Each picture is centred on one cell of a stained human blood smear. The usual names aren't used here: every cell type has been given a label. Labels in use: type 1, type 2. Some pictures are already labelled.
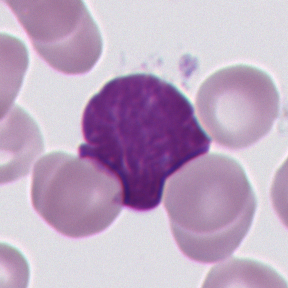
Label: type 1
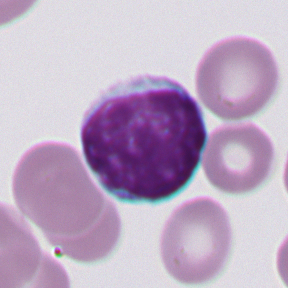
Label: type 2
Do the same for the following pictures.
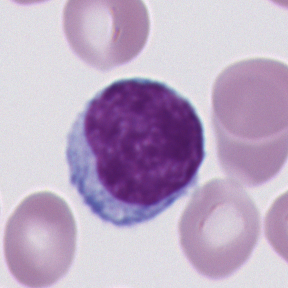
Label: type 2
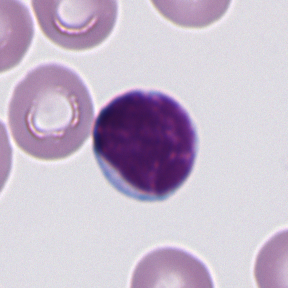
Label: type 2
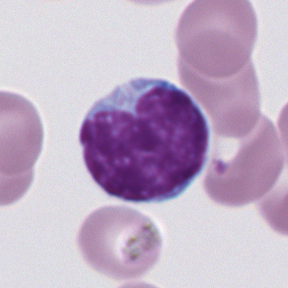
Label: type 2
